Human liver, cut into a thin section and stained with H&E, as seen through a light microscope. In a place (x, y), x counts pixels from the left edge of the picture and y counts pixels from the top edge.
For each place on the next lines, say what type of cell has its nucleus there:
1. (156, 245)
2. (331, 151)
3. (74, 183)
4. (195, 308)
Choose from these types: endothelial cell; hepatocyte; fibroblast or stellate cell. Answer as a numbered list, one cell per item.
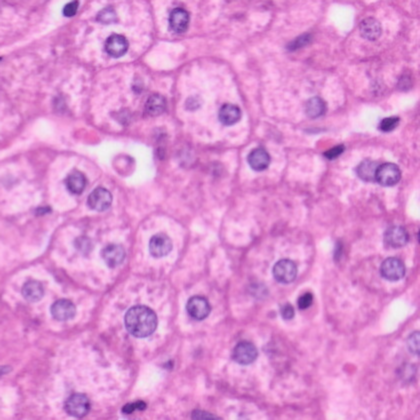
1. hepatocyte
2. fibroblast or stellate cell
3. hepatocyte
4. hepatocyte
